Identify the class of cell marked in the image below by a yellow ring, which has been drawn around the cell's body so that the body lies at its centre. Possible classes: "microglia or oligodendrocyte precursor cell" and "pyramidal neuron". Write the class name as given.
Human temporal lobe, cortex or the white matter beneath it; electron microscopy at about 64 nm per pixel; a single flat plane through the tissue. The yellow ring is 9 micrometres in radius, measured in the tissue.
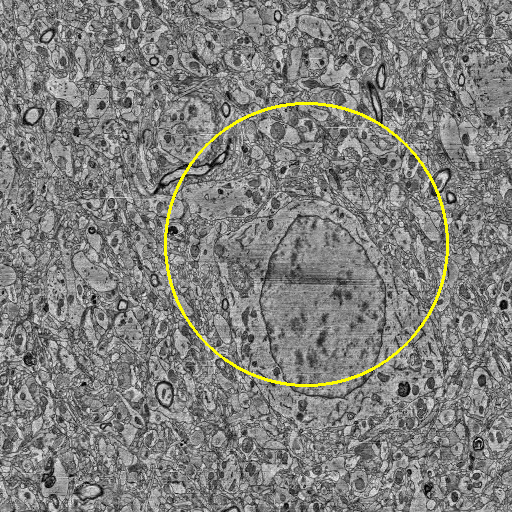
pyramidal neuron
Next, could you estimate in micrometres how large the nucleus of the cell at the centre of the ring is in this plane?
About 12 micrometres by about 8 micrometres in this plane.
